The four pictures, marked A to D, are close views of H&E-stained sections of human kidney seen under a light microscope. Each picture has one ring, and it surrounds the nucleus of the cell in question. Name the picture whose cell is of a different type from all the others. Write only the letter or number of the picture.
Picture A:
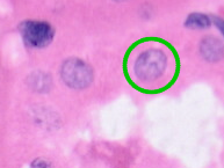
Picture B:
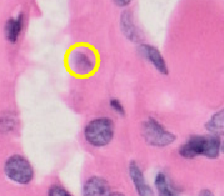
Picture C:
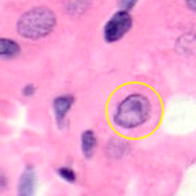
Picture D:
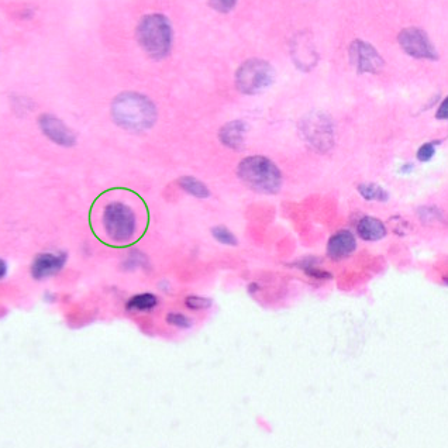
B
